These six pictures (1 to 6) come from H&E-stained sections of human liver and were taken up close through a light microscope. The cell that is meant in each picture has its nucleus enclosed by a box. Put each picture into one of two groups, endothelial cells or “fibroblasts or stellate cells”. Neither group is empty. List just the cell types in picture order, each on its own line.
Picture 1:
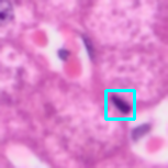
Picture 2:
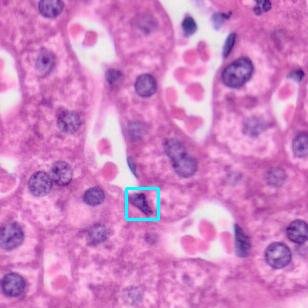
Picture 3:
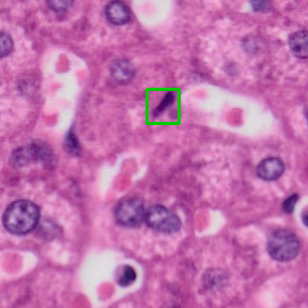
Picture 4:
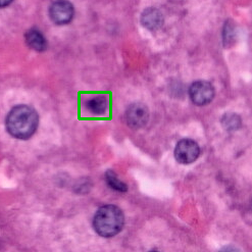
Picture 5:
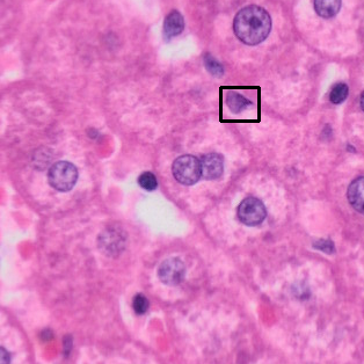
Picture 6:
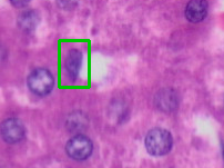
fibroblast or stellate cell
fibroblast or stellate cell
fibroblast or stellate cell
fibroblast or stellate cell
endothelial cell
endothelial cell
